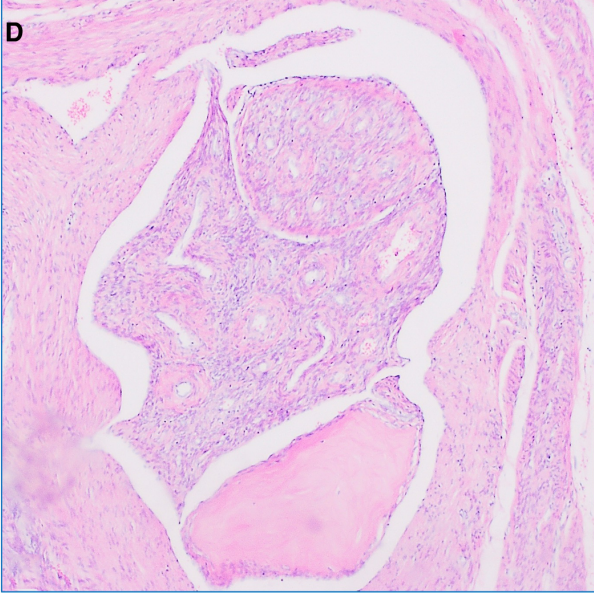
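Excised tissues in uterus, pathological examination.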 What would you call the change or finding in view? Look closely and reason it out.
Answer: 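Tumor cells are generated in the lobed shape in the vascular lumen. A lobulated mass of cellular tissue lies within a large open space. The mass is separated from the surrounding wall by a clear cleft. The surrounding tissue is layered spindle-cell wall tissue.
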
